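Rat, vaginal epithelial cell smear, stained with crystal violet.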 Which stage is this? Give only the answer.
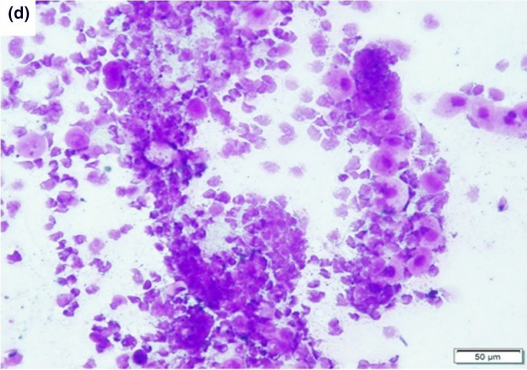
diestrus phase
